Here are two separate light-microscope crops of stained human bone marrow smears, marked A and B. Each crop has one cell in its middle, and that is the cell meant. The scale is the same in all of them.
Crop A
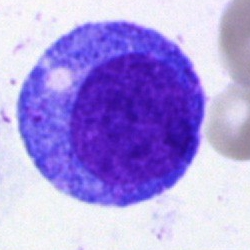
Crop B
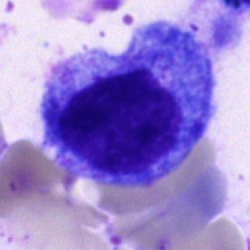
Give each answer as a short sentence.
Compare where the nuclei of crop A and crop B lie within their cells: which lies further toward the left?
In crop B the nucleus is shifted more toward the left.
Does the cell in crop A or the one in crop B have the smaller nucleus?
It is the nucleus in crop B; the one in crop A has about 1.5 times its area.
